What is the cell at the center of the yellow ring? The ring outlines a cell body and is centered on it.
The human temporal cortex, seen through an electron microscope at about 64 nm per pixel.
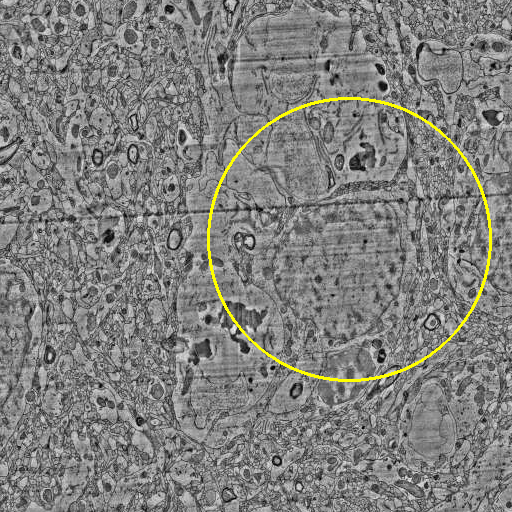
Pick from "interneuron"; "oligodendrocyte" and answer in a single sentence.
The yellow ring is centered on an interneuron.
